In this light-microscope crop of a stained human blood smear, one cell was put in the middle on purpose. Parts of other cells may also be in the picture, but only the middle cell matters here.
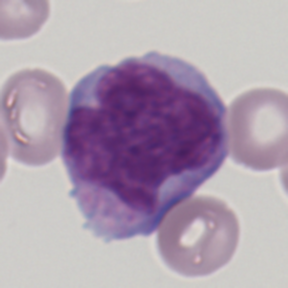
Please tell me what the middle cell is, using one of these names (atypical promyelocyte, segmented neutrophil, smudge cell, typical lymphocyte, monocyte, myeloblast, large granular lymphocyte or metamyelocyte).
atypical promyelocyte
